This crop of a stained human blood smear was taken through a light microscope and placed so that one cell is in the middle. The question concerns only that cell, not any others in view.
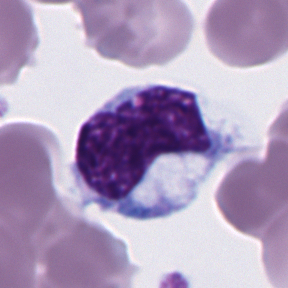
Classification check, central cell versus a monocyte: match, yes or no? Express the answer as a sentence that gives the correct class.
Yes, the cell that lies centrally is a monocyte.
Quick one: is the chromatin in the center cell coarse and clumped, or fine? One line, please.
Its nuclear chromatin is gathered into coarse clumps.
